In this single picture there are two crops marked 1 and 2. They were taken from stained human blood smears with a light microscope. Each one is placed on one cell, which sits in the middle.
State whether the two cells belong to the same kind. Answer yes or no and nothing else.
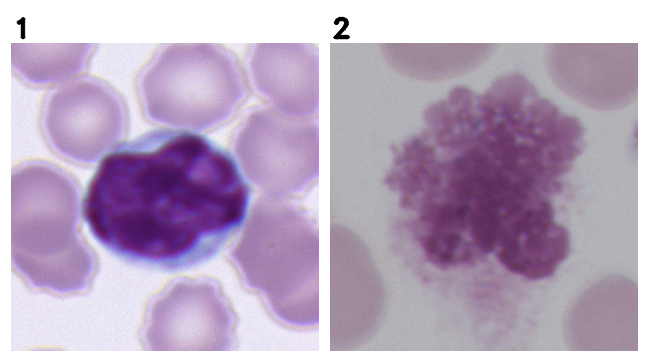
no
